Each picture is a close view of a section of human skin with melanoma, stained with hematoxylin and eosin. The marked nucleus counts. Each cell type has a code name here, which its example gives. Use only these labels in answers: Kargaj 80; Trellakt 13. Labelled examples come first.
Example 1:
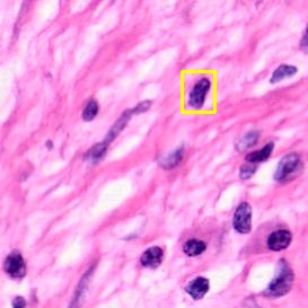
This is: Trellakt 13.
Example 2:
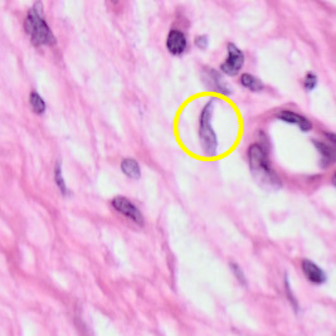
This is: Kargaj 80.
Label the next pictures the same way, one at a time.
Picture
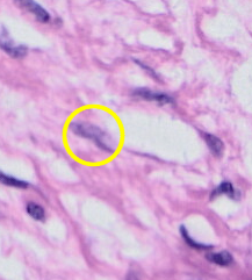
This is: Kargaj 80.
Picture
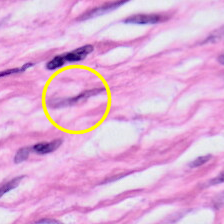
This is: Kargaj 80.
